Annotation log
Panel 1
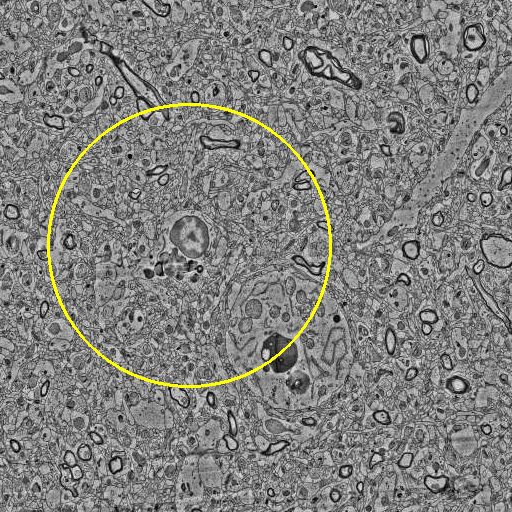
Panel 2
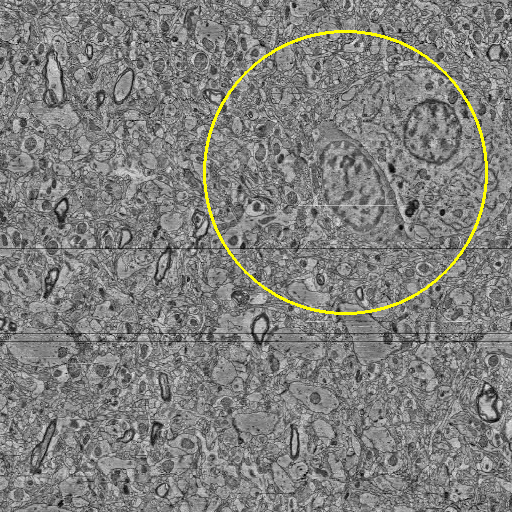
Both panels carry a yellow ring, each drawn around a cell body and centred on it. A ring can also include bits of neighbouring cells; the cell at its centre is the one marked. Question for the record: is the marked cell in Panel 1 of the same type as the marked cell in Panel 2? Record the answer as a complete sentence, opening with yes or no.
No, the marked cells in Panel 1 and Panel 2 are of two types.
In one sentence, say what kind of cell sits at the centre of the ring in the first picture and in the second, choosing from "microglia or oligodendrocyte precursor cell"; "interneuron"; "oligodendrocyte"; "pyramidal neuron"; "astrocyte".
The first picture's ringed cell is a microglial cell or oligodendrocyte precursor cell, while the second picture's is an oligodendrocyte.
